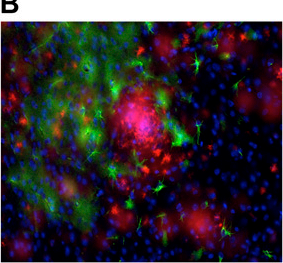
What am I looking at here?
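Several red deposits of differing size, one with a brighter core, lie among small blue nuclei in brain tissue. Green cells with fine branching processes and a hazy green meshwork lie mainly to one side of the largest deposit, and a few isolated star-shaped green cells are scattered elsewhere.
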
